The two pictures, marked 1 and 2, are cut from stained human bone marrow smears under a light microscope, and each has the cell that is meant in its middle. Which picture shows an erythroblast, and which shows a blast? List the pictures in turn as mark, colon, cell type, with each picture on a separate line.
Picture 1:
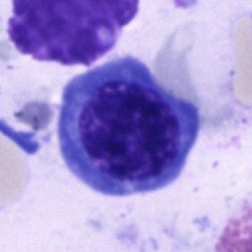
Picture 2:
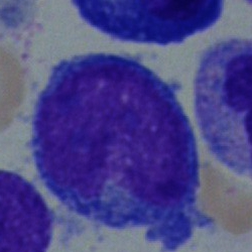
1: erythroblast
2: blast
